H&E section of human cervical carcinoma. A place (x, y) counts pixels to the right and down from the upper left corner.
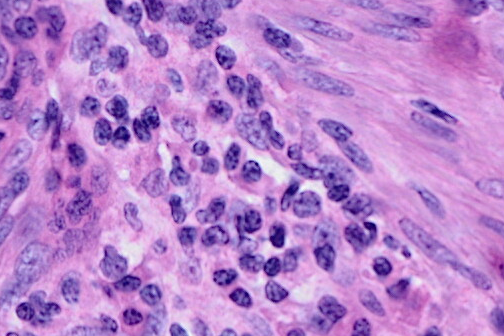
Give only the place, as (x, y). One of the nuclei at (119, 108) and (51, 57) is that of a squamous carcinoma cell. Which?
(51, 57)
